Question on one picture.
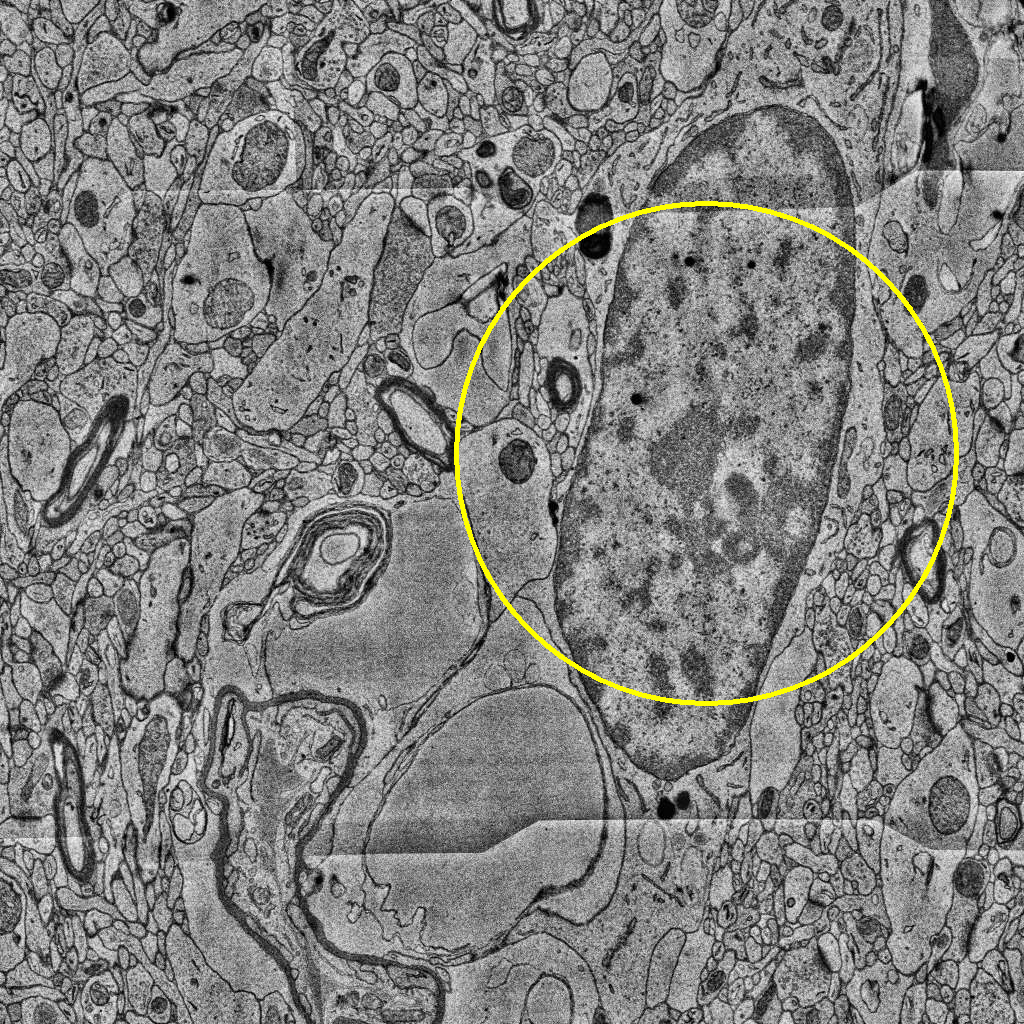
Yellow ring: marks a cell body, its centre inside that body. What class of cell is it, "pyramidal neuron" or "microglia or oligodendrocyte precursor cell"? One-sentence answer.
This is a microglial cell or oligodendrocyte precursor cell, the cell at the ring's centre.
